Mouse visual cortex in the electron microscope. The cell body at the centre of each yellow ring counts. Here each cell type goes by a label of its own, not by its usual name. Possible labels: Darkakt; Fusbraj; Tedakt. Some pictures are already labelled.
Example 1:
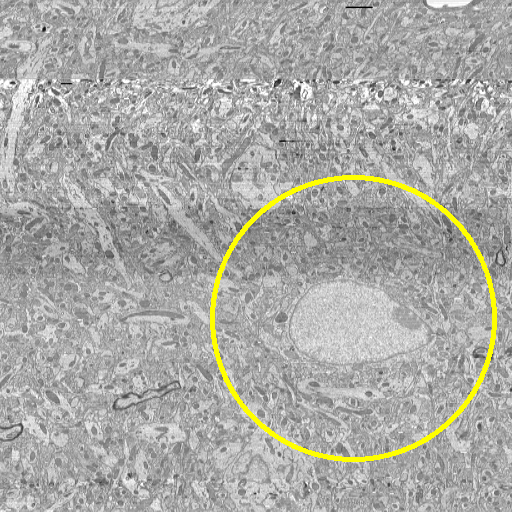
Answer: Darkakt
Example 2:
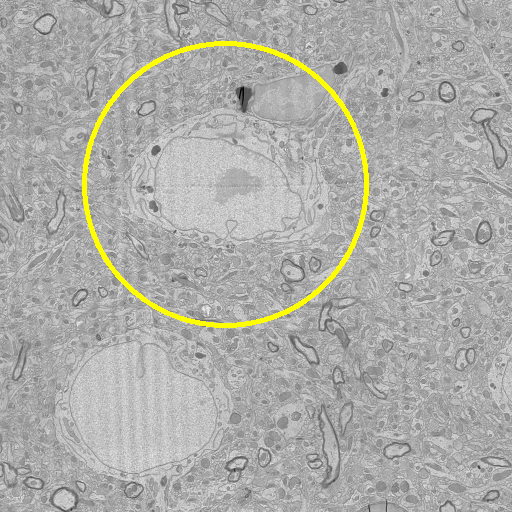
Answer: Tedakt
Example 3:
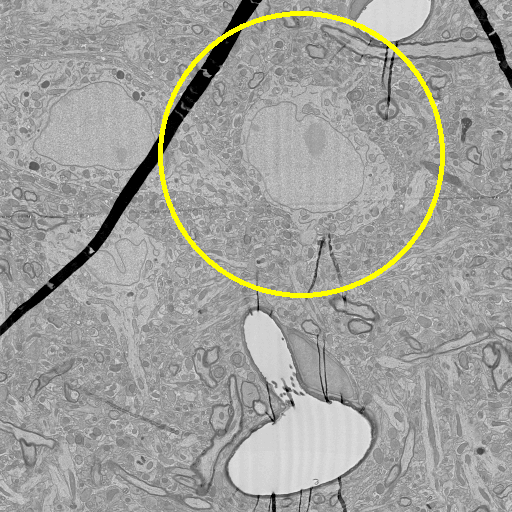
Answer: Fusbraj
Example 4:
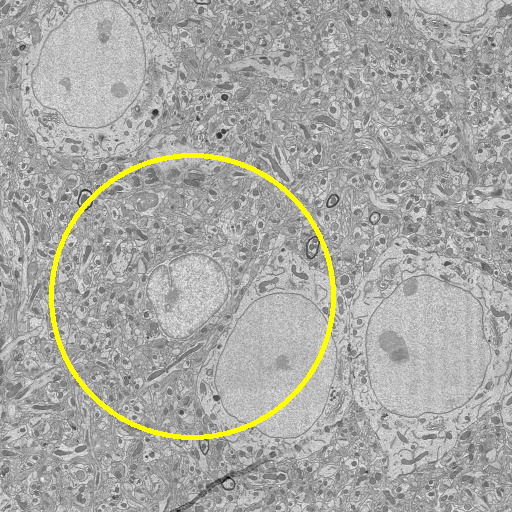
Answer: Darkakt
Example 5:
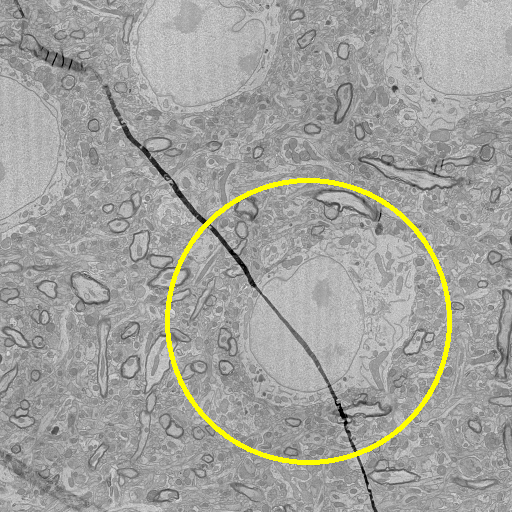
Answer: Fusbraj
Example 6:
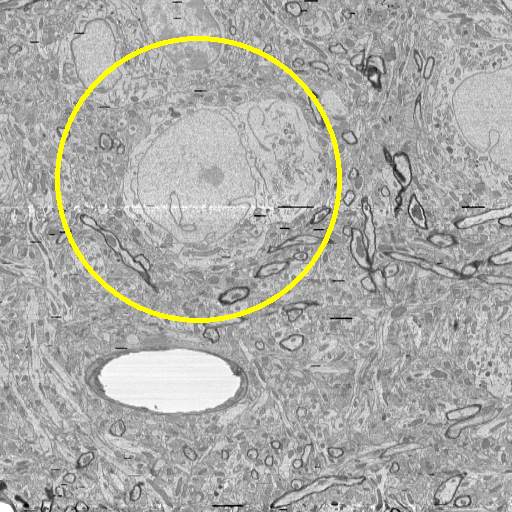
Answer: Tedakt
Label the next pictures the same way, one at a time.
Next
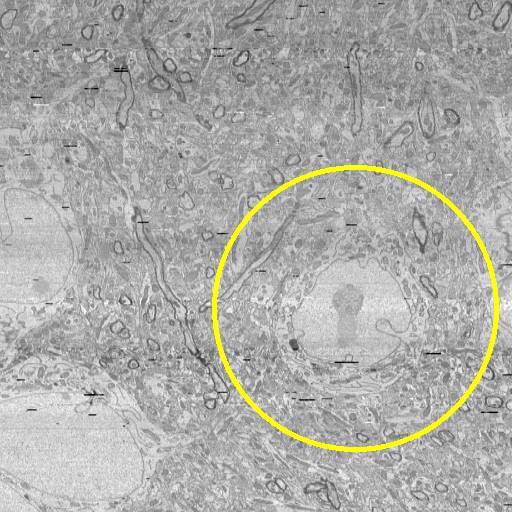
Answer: Tedakt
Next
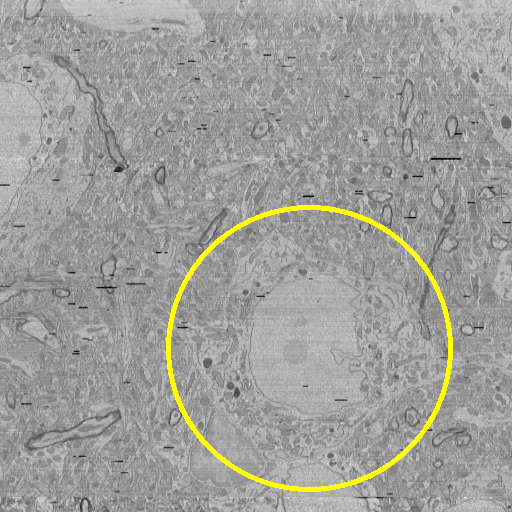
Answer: Tedakt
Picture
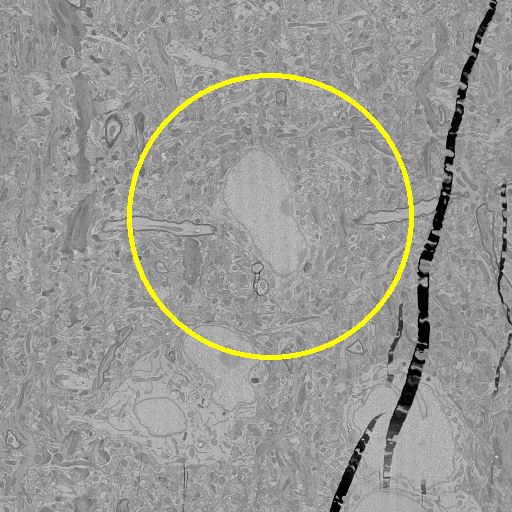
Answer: Darkakt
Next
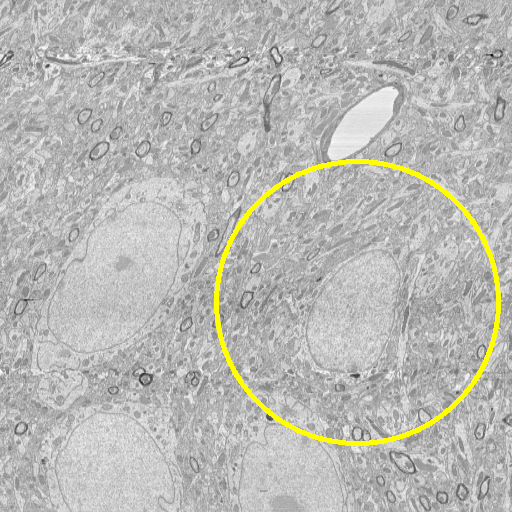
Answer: Darkakt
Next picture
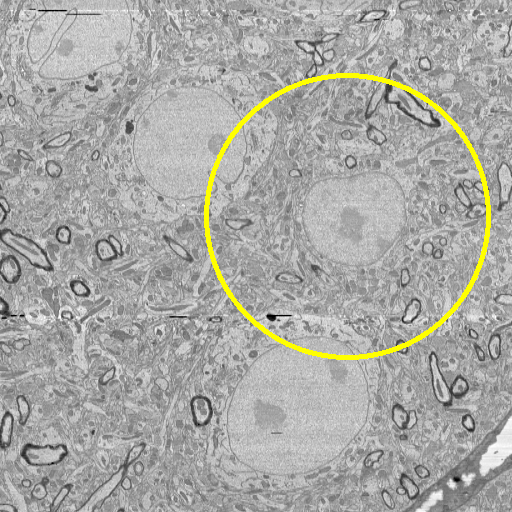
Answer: Darkakt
